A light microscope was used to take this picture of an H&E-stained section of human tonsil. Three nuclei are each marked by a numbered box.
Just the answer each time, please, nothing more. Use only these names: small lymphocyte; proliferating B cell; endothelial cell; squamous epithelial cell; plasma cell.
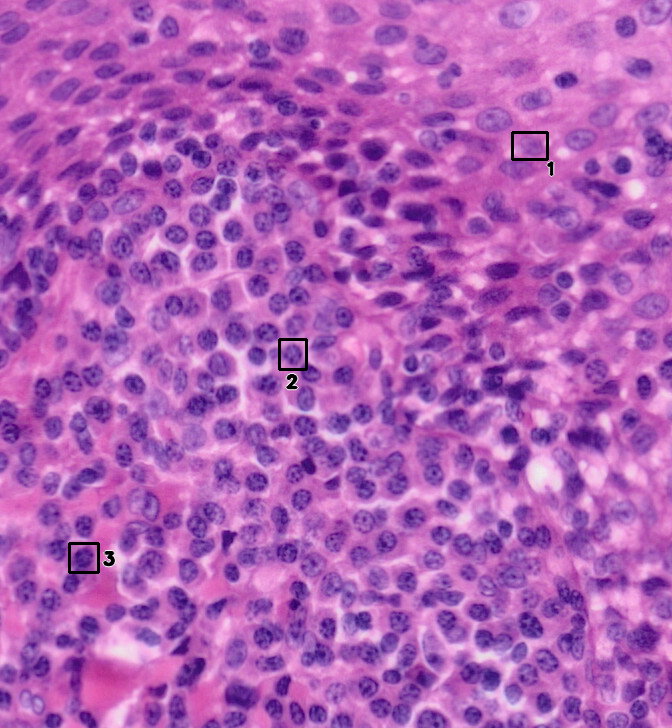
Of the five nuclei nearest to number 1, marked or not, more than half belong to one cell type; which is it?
squamous epithelial cell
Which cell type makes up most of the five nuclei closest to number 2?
plasma cell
